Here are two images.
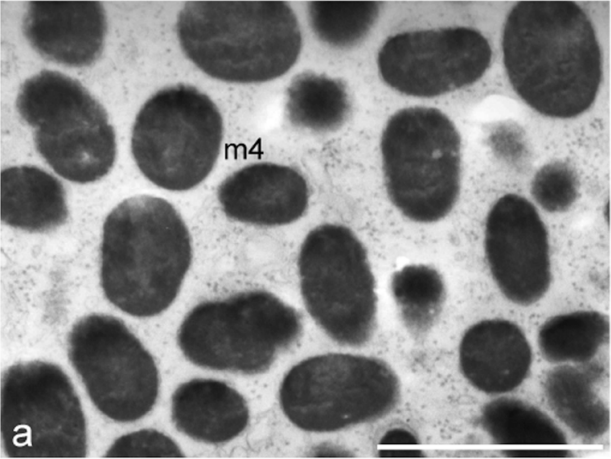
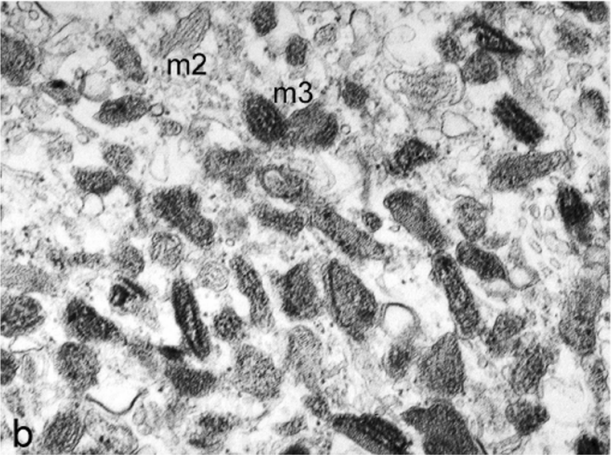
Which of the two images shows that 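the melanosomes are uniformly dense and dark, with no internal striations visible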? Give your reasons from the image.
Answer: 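The first image. Second image: smaller elongated organelles show striped, lamellar internal structure with partial darkening. First image: large oval organelles are uniformly filled with dense dark material.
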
